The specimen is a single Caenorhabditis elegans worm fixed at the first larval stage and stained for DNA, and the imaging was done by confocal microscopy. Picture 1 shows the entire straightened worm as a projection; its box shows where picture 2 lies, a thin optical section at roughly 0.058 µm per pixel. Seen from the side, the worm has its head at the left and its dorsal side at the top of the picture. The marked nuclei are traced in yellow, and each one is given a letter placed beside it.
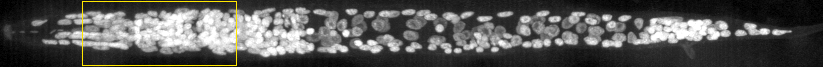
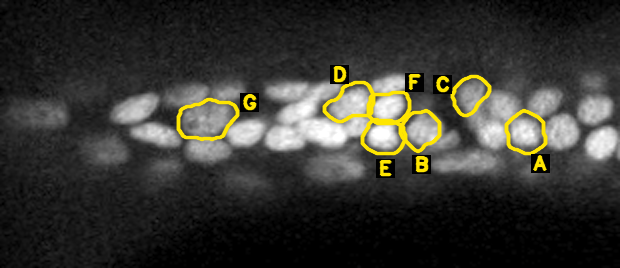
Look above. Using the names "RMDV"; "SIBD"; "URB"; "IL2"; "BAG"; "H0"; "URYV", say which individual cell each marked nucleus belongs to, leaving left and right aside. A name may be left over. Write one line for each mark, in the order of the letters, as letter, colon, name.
A: SIBD
B: BAG
C: RMDV
D: IL2
E: URYV
F: URB
G: H0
